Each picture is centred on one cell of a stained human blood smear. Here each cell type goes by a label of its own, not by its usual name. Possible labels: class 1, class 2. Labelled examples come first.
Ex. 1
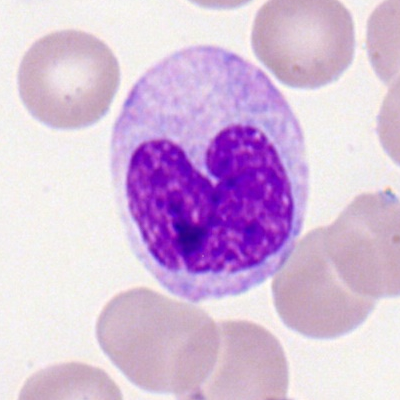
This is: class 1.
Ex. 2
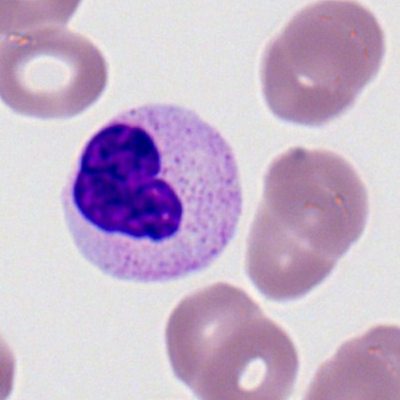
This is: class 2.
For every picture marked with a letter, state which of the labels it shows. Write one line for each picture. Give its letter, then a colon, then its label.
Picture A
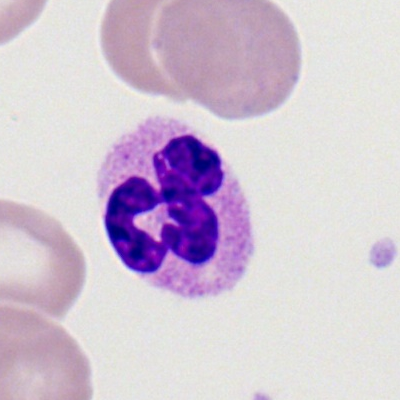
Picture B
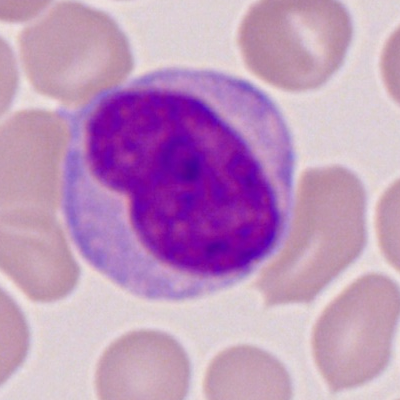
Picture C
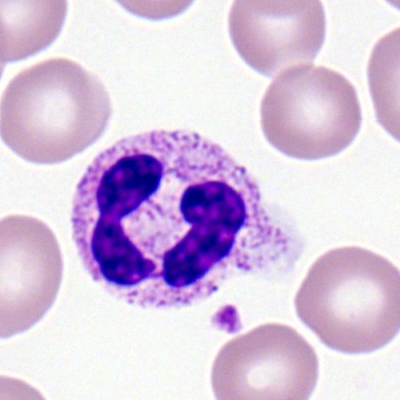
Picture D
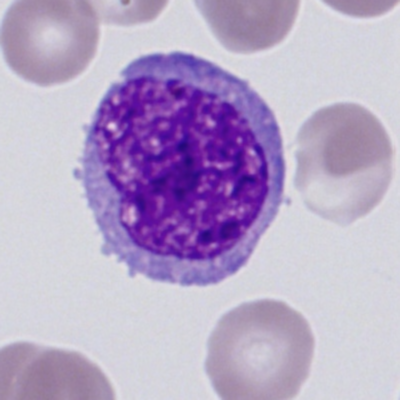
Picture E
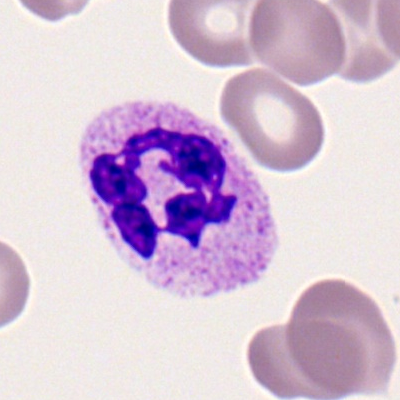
A: class 2.
B: class 1.
C: class 2.
D: class 1.
E: class 2.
